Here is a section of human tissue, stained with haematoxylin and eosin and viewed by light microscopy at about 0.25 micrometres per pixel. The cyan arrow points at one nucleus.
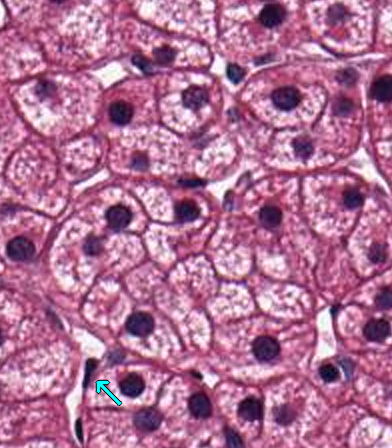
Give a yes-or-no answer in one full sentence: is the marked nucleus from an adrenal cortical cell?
No, the marked nucleus belongs to a supporting cell, not to an adrenal cortical cell.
